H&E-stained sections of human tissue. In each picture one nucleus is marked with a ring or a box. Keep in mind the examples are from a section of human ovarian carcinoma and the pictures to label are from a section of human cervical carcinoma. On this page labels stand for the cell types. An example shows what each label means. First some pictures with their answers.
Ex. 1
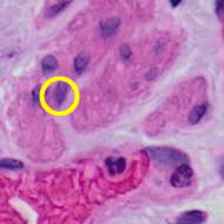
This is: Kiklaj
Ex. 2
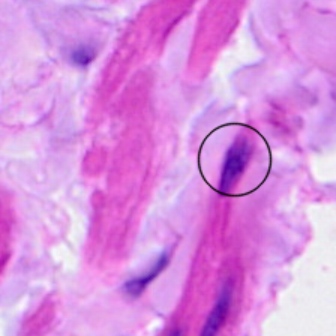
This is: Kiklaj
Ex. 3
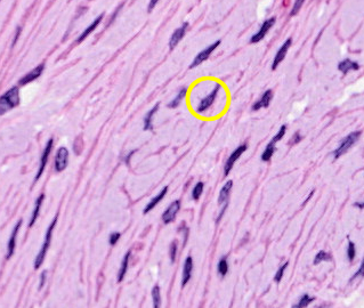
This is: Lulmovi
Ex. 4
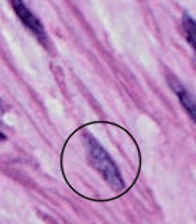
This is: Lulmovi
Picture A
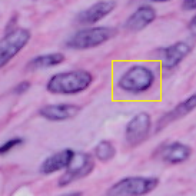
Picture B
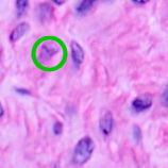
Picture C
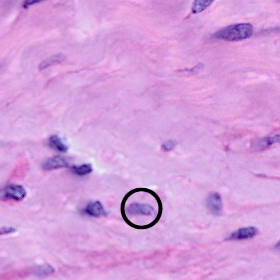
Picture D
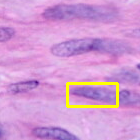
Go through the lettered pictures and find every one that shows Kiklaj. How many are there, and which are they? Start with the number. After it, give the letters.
Count: 3 (A, B, D)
